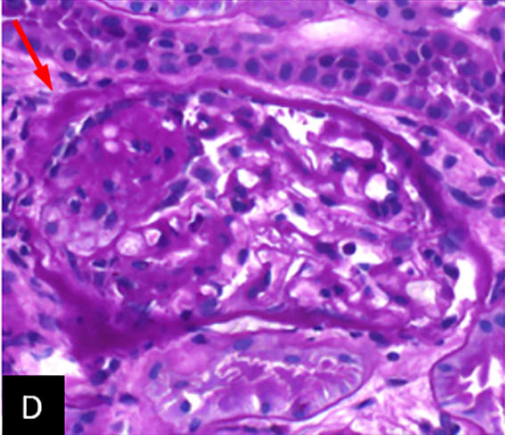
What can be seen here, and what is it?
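This is a kidney glomerulus in cross-section, stained so that basement membranes and matrix appear magenta. Within the tuft, part of the normal open capillary loops is replaced by dense, homogeneous magenta material with few nuclei, a scarred, sclerotic segment, while the rest still shows scattered cells and open spaces. The band around the tuft looks thickened and strongly stained.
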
